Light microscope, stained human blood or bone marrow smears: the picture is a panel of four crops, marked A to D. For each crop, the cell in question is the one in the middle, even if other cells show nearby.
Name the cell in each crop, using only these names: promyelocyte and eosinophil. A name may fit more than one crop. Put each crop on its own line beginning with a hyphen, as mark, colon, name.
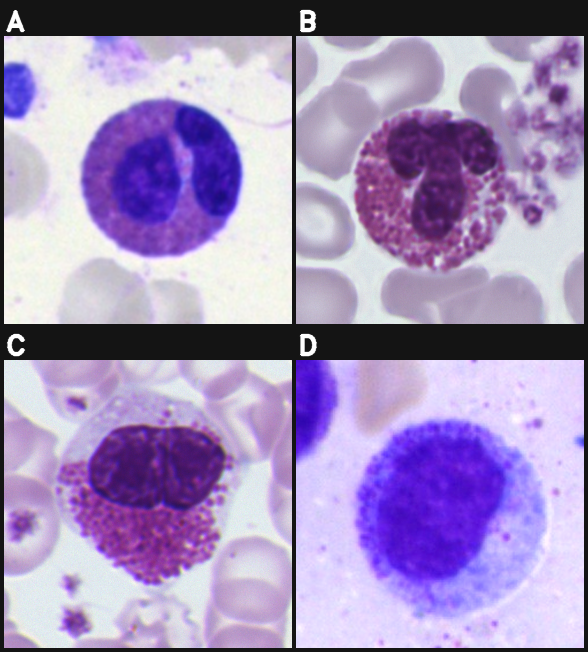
- A: eosinophil
- B: eosinophil
- C: eosinophil
- D: promyelocyte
